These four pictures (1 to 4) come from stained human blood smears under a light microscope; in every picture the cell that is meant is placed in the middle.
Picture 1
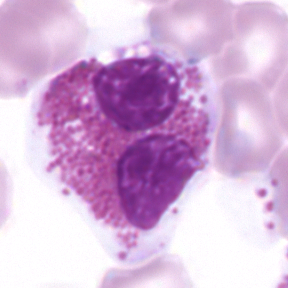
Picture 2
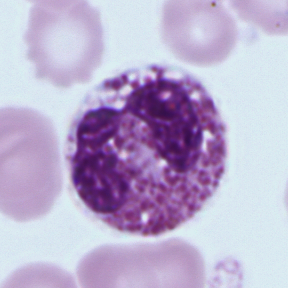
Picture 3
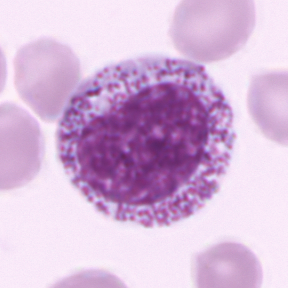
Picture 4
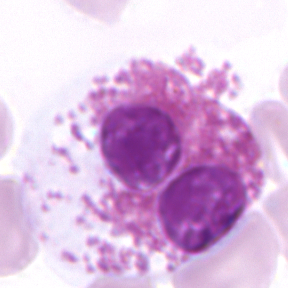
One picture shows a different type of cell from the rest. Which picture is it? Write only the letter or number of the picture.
3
